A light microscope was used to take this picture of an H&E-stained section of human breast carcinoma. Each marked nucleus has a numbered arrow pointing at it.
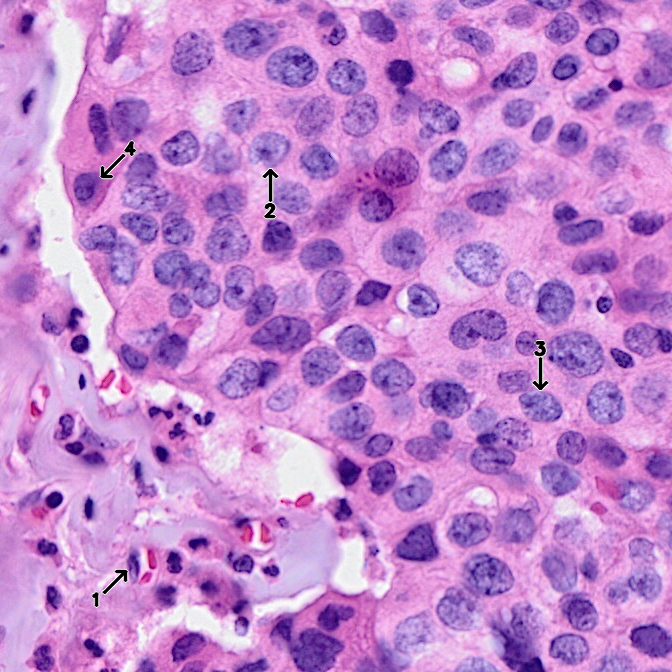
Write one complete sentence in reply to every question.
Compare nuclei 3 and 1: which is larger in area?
Nucleus 3 is the larger one, covering about 3 times the area of nucleus 1.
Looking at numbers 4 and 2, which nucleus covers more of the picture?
Nucleus 2 is the larger one, covering about 1.5 times the area of nucleus 4.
